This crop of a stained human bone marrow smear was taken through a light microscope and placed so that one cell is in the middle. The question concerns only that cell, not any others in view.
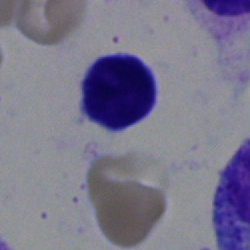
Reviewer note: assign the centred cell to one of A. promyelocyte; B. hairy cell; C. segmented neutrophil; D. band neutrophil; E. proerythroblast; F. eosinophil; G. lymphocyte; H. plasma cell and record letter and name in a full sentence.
The middle of the crop holds a lymphocyte, which points to option G.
